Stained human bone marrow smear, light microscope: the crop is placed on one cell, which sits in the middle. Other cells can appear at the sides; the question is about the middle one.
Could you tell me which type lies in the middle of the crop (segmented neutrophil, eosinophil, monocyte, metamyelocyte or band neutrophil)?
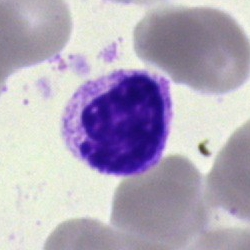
band neutrophil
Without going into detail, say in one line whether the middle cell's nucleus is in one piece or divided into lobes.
If you check the nucleus, you will find one compact mass, round, oval or kidney-shaped.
